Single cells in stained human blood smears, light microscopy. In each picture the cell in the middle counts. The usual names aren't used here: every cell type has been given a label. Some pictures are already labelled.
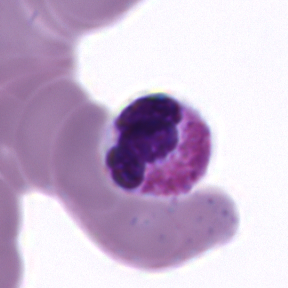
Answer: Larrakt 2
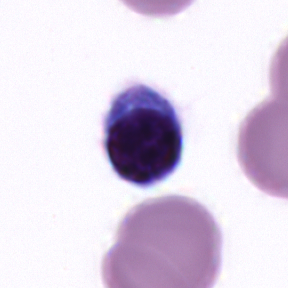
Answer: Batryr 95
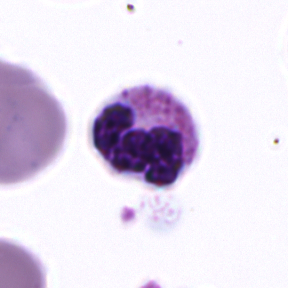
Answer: Larrakt 2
